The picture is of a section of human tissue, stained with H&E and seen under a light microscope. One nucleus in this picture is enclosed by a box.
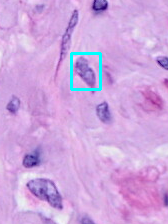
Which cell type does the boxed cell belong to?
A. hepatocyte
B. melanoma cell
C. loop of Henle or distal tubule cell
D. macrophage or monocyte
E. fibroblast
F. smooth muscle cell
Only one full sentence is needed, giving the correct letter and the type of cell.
Option E is right in classifying the boxed cell as a fibroblast.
